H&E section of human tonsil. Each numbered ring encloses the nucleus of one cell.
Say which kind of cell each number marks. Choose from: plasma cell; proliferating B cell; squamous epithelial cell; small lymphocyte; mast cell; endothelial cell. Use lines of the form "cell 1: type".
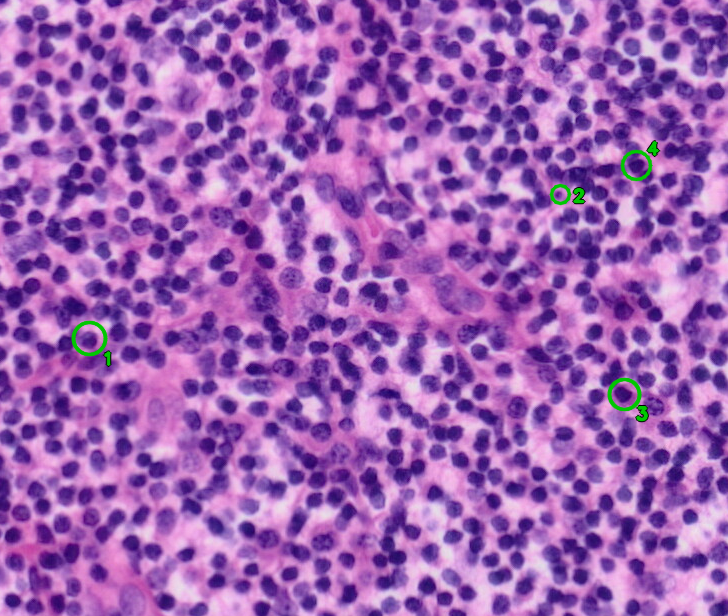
cell 1: small lymphocyte
cell 2: small lymphocyte
cell 3: plasma cell
cell 4: small lymphocyte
